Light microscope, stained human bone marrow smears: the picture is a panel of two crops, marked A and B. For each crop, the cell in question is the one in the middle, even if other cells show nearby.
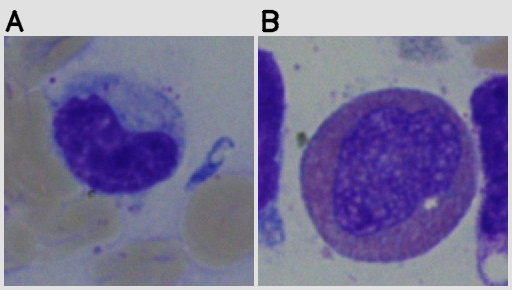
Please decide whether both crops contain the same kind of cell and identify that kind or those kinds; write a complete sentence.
No, crop A corresponds to a metamyelocyte, while crop B corresponds to an eosinophil.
